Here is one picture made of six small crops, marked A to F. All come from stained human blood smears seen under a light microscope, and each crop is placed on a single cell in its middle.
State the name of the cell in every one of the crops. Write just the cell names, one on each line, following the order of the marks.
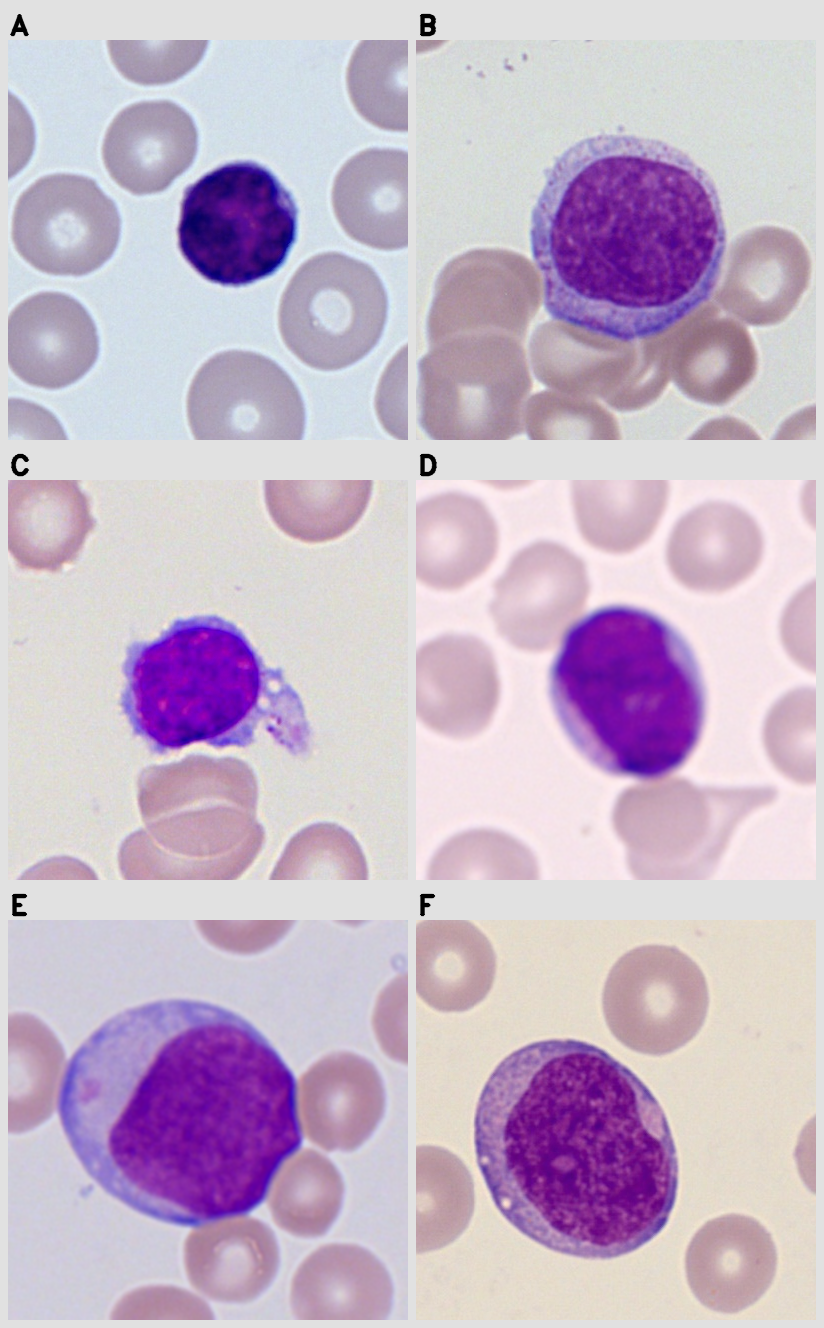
lymphocyte
blast
lymphocyte
blast
blast
blast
